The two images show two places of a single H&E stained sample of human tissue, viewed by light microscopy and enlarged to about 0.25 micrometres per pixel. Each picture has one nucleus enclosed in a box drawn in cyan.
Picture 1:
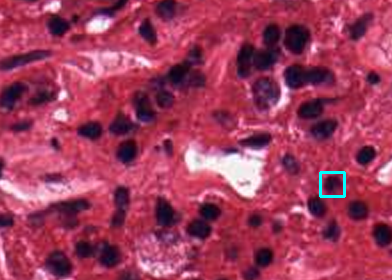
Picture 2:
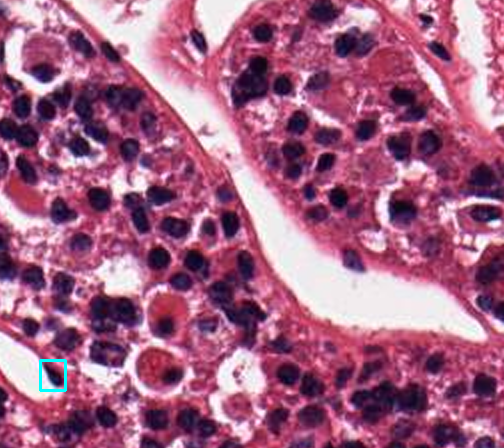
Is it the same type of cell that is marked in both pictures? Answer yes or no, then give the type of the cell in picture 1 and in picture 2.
No, the first is an anterior pituitary cell and the second an endothelial cell.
